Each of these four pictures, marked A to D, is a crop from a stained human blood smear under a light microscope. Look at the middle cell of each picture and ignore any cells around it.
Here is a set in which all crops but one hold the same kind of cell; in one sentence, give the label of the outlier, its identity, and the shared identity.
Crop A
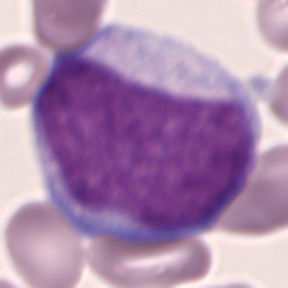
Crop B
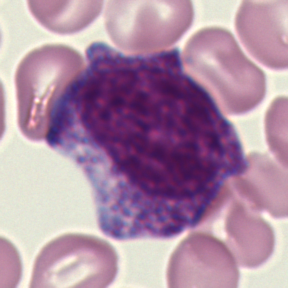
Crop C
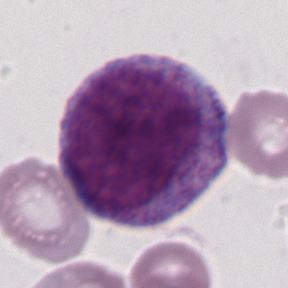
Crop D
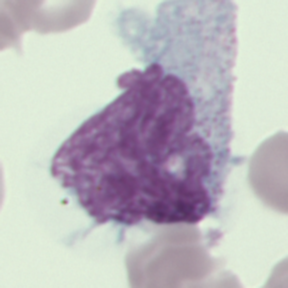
In this set the other crops all show promyelocytes, and crop D shows a monocyte.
